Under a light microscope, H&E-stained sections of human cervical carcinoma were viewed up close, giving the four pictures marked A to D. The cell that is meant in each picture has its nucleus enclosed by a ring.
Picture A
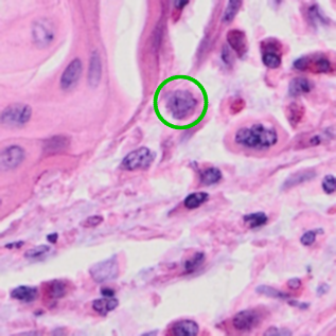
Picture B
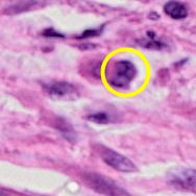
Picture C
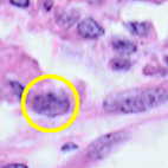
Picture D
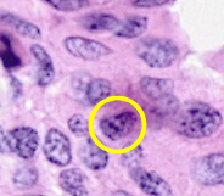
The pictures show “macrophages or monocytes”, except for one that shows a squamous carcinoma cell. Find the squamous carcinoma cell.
D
